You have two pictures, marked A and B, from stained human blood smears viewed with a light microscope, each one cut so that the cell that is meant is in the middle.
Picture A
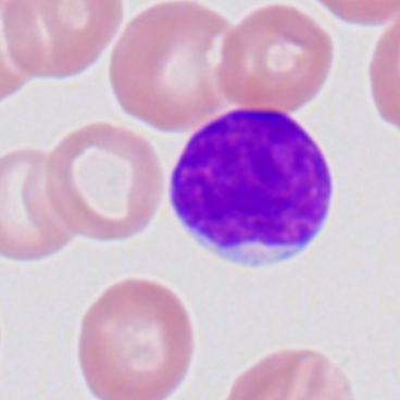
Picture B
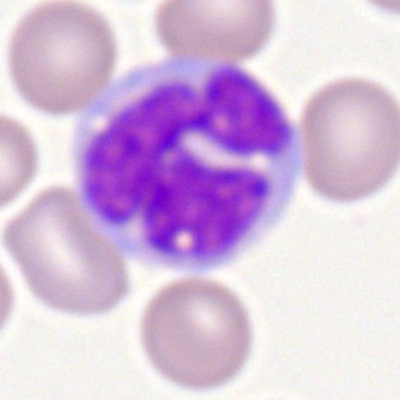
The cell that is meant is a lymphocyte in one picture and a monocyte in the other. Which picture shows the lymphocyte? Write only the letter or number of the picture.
A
